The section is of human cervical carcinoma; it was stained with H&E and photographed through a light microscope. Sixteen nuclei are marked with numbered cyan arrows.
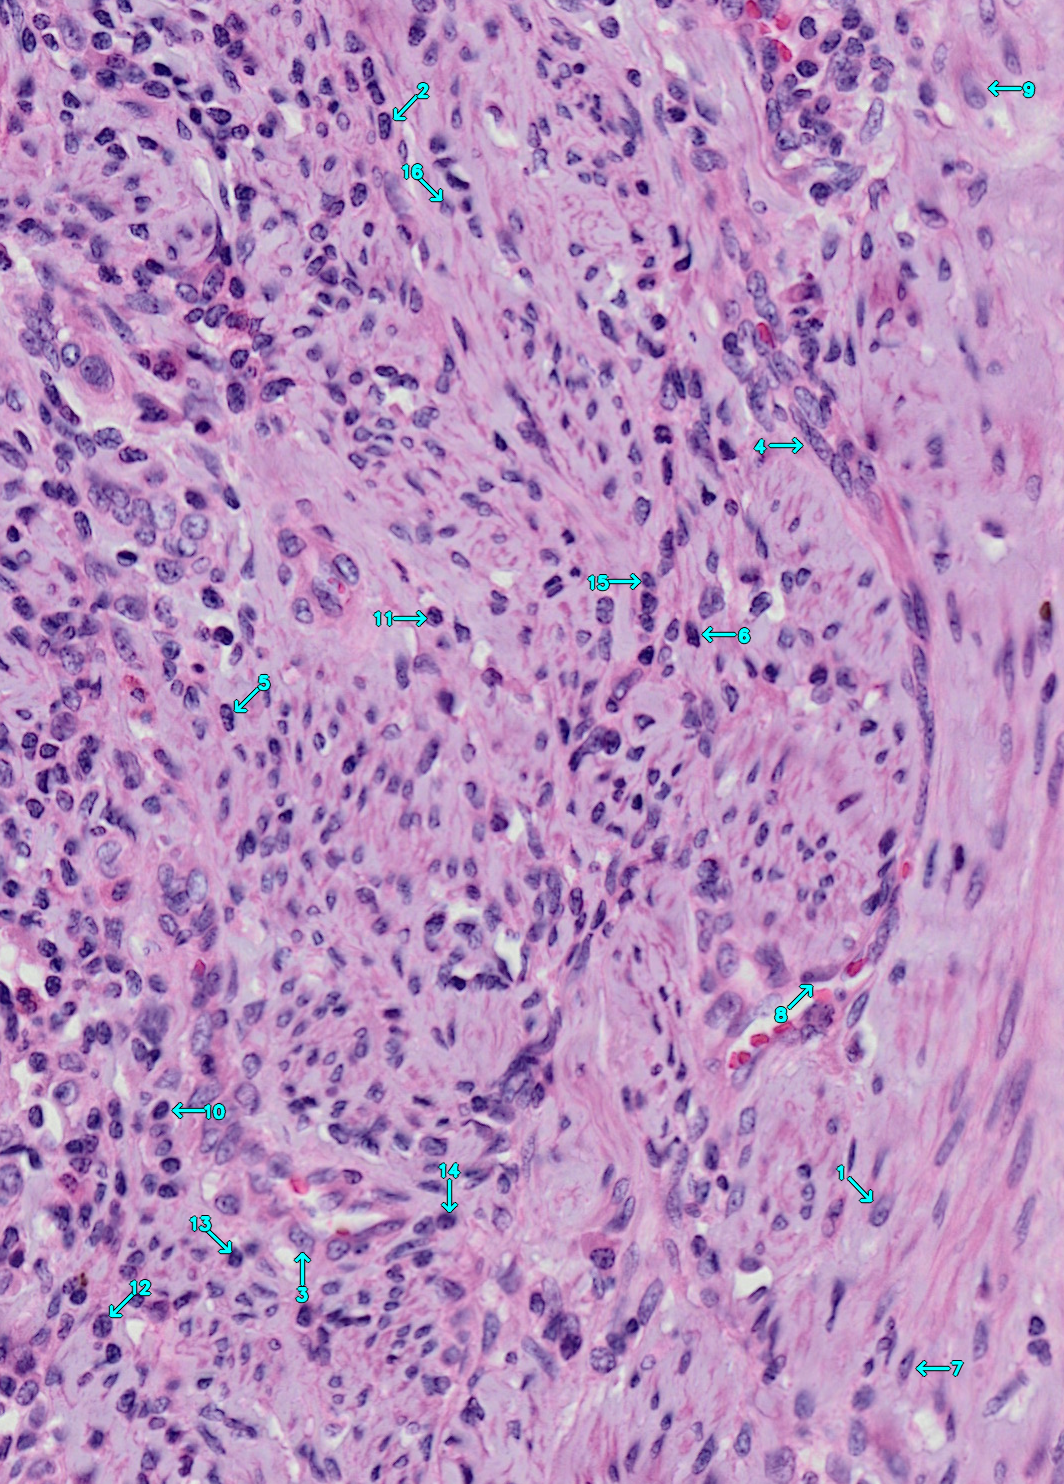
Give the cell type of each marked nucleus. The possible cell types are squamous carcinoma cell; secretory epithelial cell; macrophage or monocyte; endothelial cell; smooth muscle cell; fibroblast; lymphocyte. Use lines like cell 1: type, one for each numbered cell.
cell 1: smooth muscle cell
cell 2: lymphocyte
cell 3: endothelial cell
cell 4: endothelial cell
cell 5: lymphocyte
cell 6: lymphocyte
cell 7: smooth muscle cell
cell 8: endothelial cell
cell 9: smooth muscle cell
cell 10: lymphocyte
cell 11: lymphocyte
cell 12: lymphocyte
cell 13: lymphocyte
cell 14: lymphocyte
cell 15: lymphocyte
cell 16: fibroblast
